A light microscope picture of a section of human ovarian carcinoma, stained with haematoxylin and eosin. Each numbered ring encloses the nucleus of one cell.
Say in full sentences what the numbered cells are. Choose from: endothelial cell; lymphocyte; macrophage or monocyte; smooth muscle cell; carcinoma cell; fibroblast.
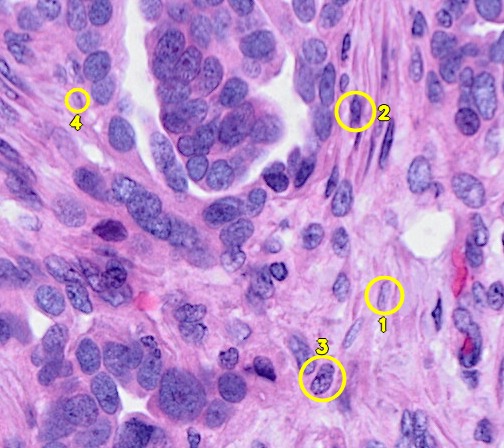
Cells 1, 2 and 4 are fibroblasts. Cell 3 is a macrophage or monocyte.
